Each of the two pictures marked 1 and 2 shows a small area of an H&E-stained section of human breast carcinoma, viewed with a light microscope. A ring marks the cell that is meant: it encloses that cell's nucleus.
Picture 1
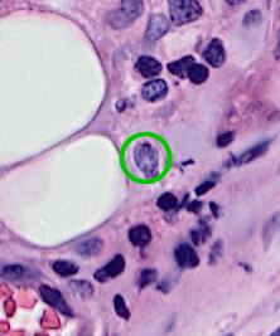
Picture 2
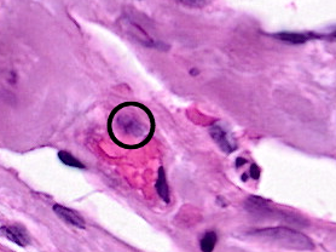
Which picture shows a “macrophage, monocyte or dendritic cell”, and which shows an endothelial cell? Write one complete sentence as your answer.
Picture 1 shows a “macrophage, monocyte or dendritic cell” and picture 2 shows an endothelial cell.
